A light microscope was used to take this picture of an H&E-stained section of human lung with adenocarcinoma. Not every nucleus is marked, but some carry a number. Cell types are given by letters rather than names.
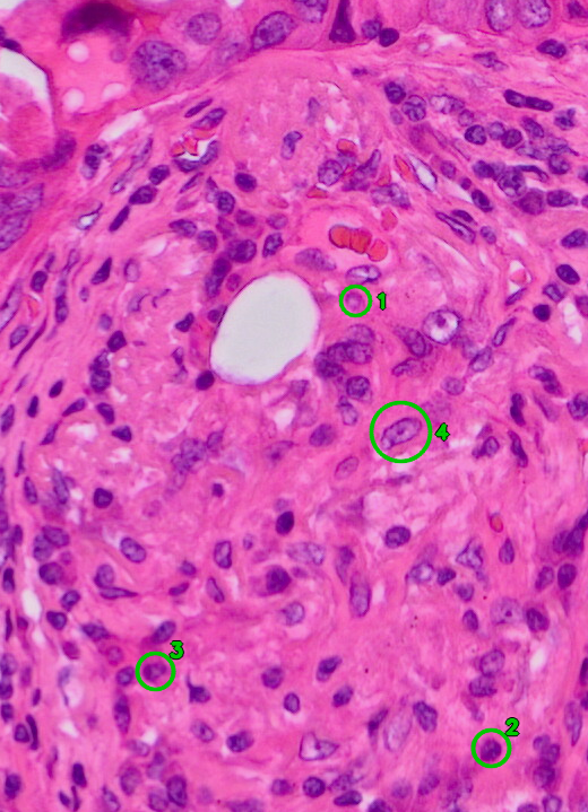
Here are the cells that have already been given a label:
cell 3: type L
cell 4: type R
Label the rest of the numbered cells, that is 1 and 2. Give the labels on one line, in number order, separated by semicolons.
type R; type L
